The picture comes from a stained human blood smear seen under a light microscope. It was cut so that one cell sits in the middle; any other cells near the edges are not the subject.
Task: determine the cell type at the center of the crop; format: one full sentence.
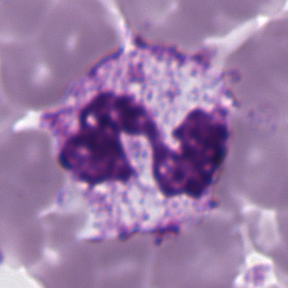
By type, the central cell of the crop is a neutrophil.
